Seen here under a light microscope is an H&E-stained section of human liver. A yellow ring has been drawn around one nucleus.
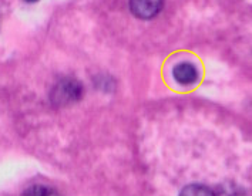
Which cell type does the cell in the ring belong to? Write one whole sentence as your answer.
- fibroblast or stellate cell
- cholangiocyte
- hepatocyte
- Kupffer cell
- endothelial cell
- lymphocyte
Considered by cell type, the cell in the ring is a lymphocyte.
